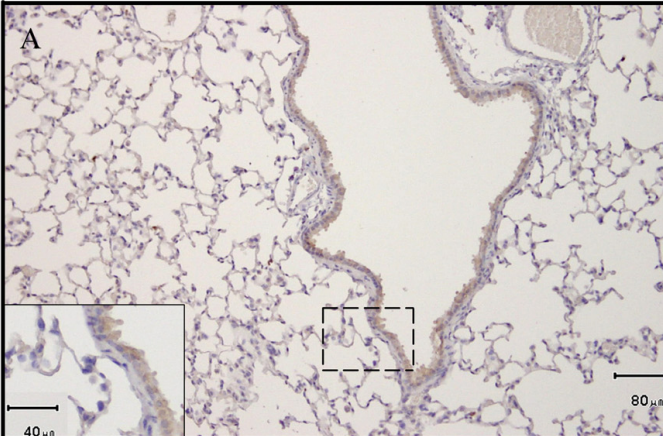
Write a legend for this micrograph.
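A section of lung shows a large airway lined by a single layer of columnar epithelium with a pale brownish tint, surrounded by a delicate network of thin alveolar walls. The alveolar walls carry small blue-stained nuclei and are not thickened.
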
